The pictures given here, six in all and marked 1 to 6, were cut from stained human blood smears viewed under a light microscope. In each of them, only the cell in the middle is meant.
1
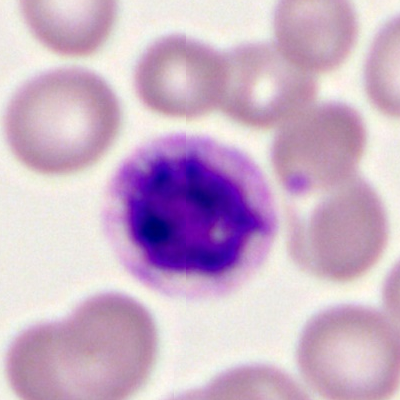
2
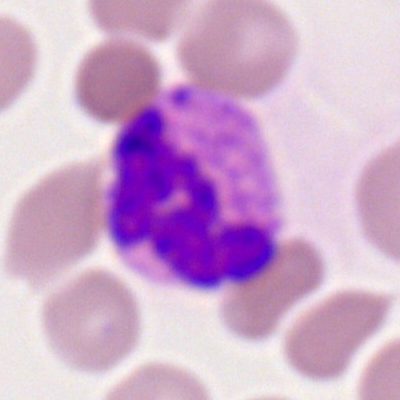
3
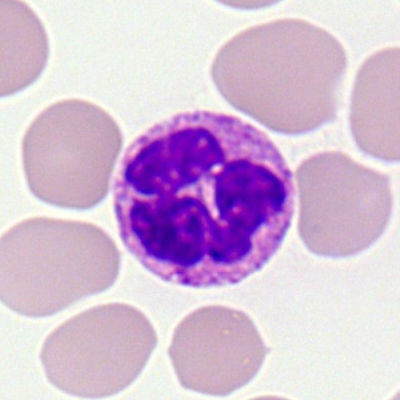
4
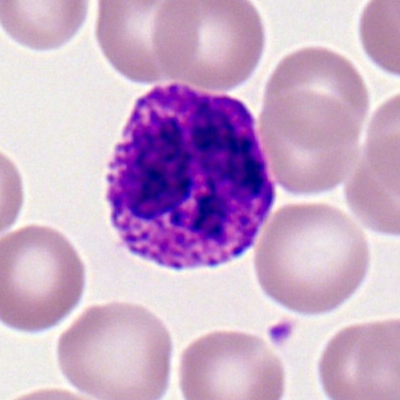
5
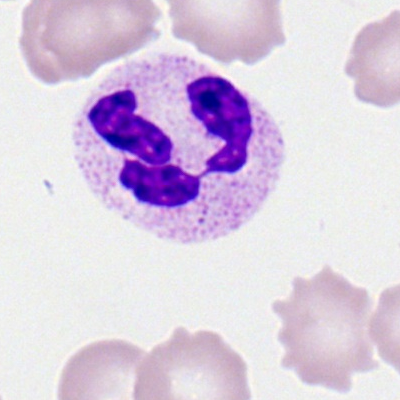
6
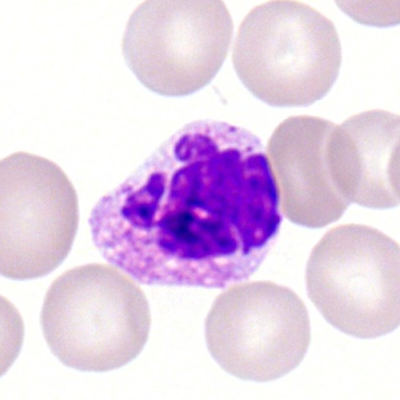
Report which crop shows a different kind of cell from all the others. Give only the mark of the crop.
5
